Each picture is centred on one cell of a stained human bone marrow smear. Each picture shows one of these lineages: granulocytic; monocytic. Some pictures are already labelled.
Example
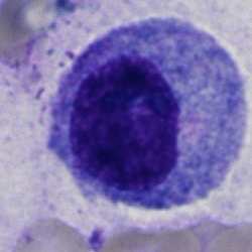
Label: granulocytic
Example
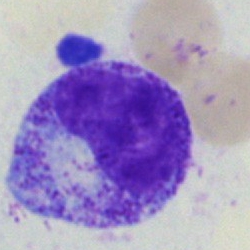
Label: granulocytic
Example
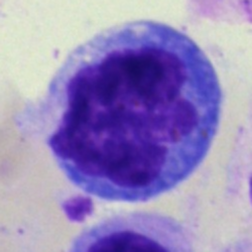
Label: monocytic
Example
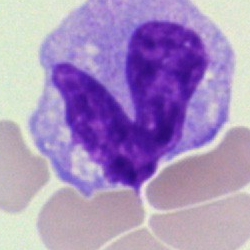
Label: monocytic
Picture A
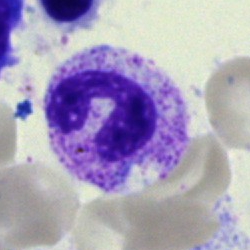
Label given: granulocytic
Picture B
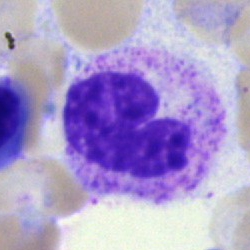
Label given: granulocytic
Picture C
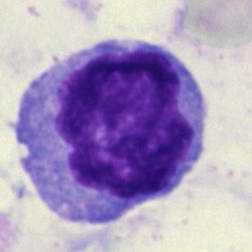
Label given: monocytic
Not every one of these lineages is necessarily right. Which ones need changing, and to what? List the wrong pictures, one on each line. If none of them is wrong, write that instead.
All correct.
